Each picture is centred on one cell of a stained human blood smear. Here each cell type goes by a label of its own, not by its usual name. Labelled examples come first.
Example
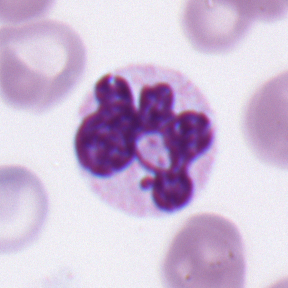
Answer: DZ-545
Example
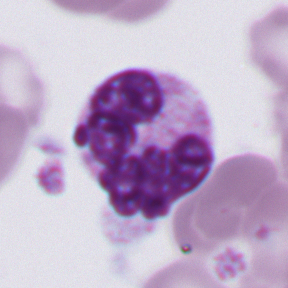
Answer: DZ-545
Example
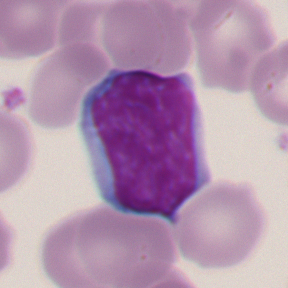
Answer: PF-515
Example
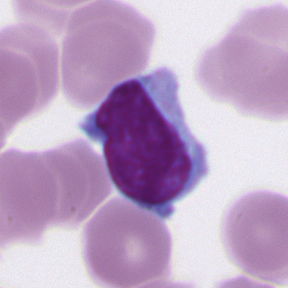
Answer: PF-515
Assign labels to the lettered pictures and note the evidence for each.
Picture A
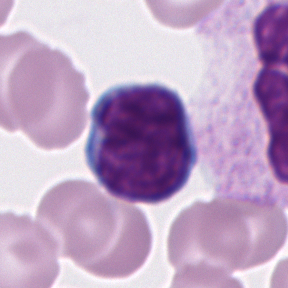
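PF-515. The nucleus is a single unlobed mass.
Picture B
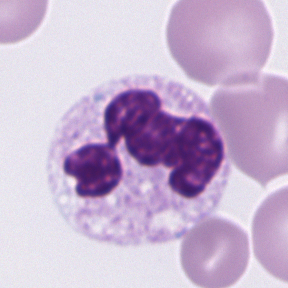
DZ-545. The nucleus is split into separate lobes joined by narrow connections.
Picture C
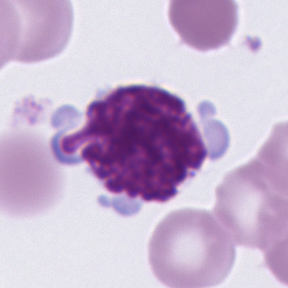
PF-515. The cytoplasm is scant, with the nucleus filling almost the whole cell.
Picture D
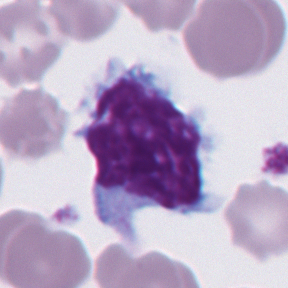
PF-515. Pale blue-grey cytoplasm shows only as a small patch at the lower left of the cell.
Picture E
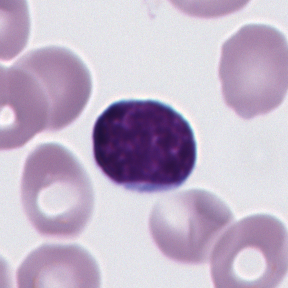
PF-515. The cytoplasm is only a thin pale blue crescent, seen mainly along the lower edge.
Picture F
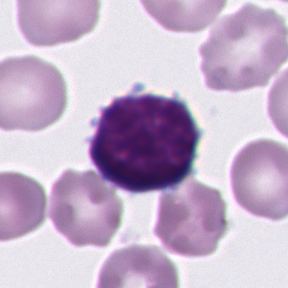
PF-515. Only a very thin rim of cytoplasm shows around the nucleus.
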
